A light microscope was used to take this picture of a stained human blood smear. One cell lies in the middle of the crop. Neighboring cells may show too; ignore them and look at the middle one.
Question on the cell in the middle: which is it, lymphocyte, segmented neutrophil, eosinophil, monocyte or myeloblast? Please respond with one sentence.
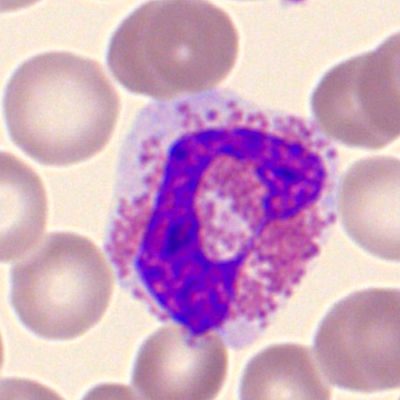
In the centre of this crop there is an eosinophil.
